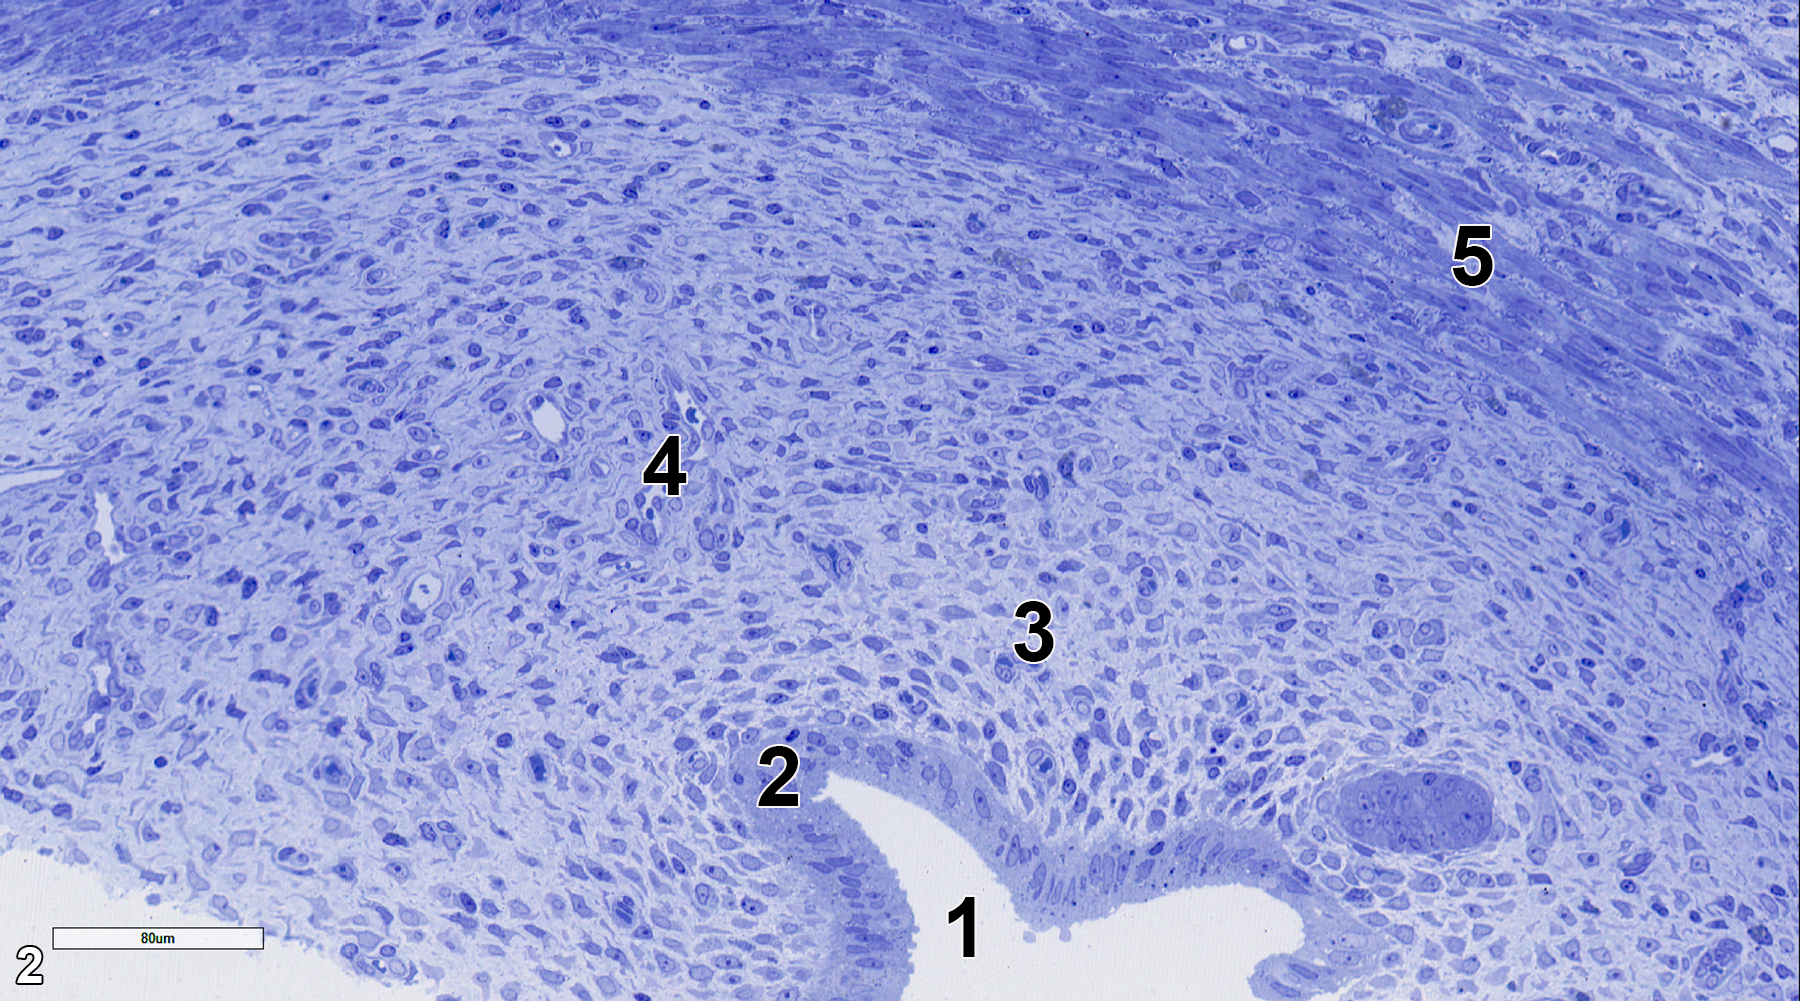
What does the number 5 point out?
5 marks the muscularis.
